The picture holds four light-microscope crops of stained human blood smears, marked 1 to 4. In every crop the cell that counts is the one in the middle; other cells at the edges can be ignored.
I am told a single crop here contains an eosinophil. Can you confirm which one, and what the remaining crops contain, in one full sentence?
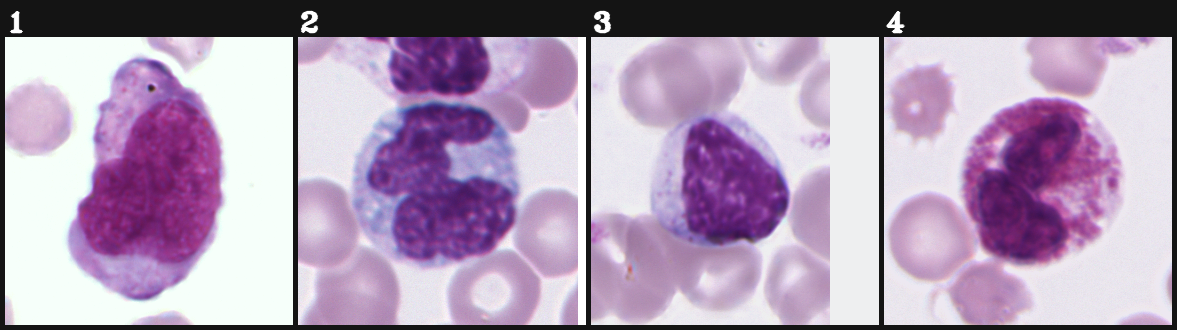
The cell in crop 4 is an eosinophil, while crop 1 is an atypical promyelocyte, crop 2 is a monocyte and crop 3 is a metamyelocyte.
